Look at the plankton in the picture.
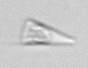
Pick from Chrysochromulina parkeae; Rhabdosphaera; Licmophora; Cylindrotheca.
Licmophora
